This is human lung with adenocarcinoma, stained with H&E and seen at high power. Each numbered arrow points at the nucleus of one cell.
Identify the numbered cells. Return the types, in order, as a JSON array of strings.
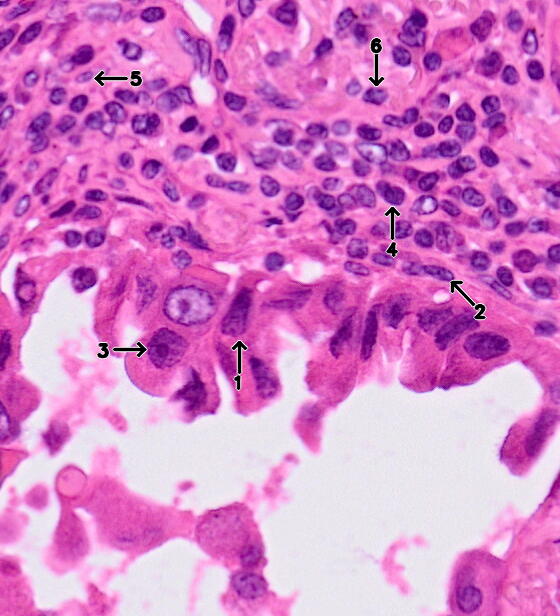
["carcinoma cell", "lymphocyte", "carcinoma cell", "lymphocyte", "lymphocyte", "lymphocyte"]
